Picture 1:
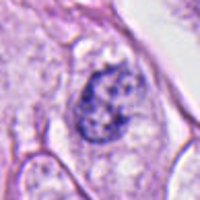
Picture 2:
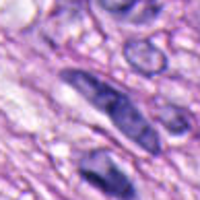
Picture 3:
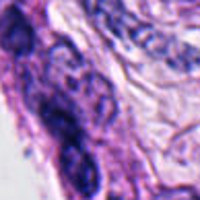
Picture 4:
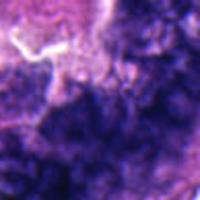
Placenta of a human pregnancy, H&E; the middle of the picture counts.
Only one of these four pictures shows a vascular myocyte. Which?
Picture 2.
